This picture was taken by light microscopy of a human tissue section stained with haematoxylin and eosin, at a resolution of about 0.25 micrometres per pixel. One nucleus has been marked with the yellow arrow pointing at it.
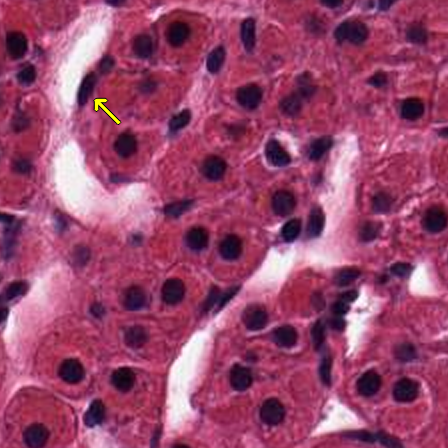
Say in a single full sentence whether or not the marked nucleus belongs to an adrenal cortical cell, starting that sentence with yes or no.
No, the marked nucleus is not that of an adrenal cortical cell but that of a supporting cell.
